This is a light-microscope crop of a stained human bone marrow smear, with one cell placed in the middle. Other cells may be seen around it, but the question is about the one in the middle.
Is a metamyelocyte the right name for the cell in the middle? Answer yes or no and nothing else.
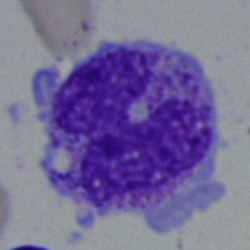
no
